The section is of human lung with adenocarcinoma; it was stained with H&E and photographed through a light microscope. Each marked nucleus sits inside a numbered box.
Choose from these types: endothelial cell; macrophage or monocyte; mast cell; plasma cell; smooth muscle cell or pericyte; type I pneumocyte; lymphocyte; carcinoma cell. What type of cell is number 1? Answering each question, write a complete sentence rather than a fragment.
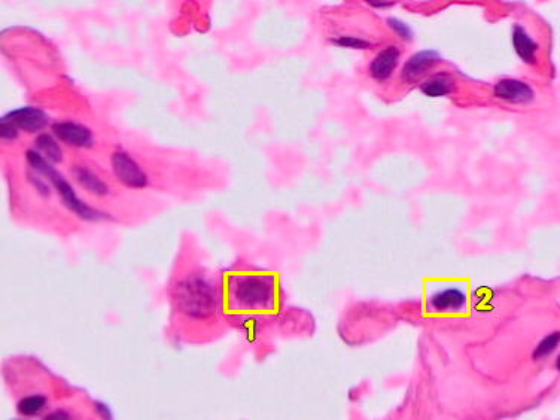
The numbered cell 1 is identified here as a macrophage or monocyte.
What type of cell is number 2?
Cell number 2 in this section is a type I pneumocyte.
